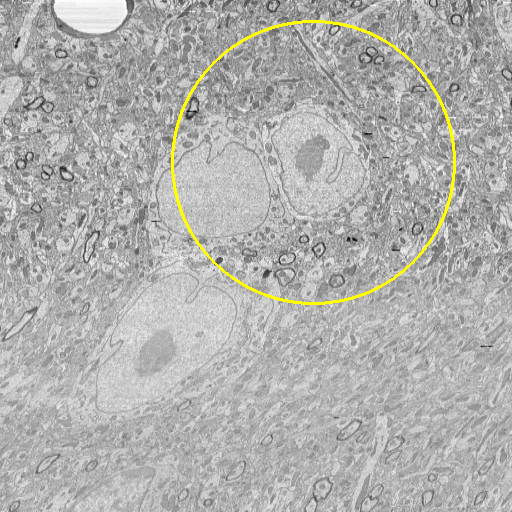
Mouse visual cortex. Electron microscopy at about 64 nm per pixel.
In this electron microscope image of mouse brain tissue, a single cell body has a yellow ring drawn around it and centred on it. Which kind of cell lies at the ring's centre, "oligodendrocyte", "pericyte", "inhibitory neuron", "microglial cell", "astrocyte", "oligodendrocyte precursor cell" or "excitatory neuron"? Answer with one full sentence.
It is an inhibitory neuron whose cell body lies at the centre of the yellow ring here.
